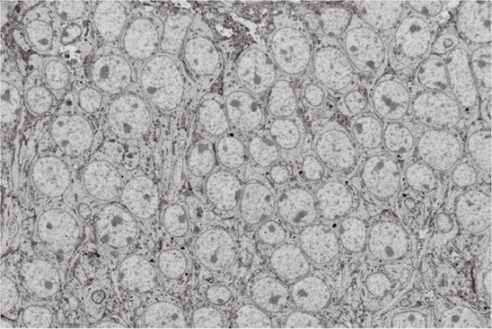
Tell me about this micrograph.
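Small neuronal cell bodies crowd the whole field, each consisting mostly of a rounded, pale nucleus with a thin rim of cytoplasm around it. The nuclei show a finely granular interior with one or more dark clumps. The cell bodies lie tightly side by side, separated only by narrow strips of darker neuropil with fine processes and small dark profiles. The arrangement of densely packed small cells with little cytoplasm is that of granule cells.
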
